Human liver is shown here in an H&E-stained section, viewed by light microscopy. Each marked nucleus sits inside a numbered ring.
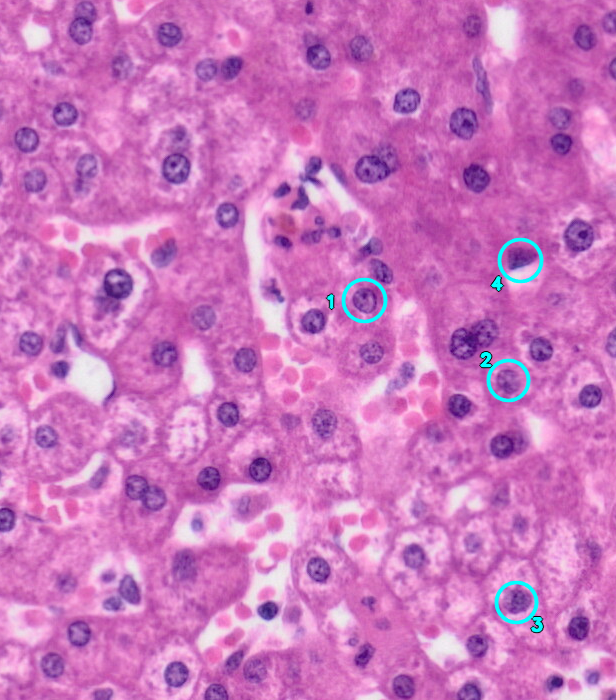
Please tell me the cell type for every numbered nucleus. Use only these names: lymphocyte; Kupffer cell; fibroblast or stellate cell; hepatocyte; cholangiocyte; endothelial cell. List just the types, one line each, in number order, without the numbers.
hepatocyte
hepatocyte
hepatocyte
endothelial cell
